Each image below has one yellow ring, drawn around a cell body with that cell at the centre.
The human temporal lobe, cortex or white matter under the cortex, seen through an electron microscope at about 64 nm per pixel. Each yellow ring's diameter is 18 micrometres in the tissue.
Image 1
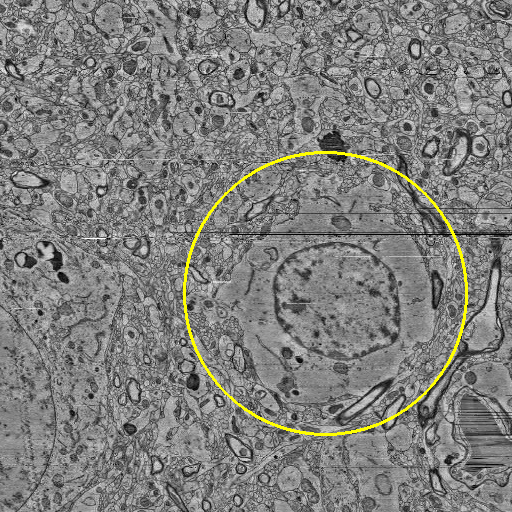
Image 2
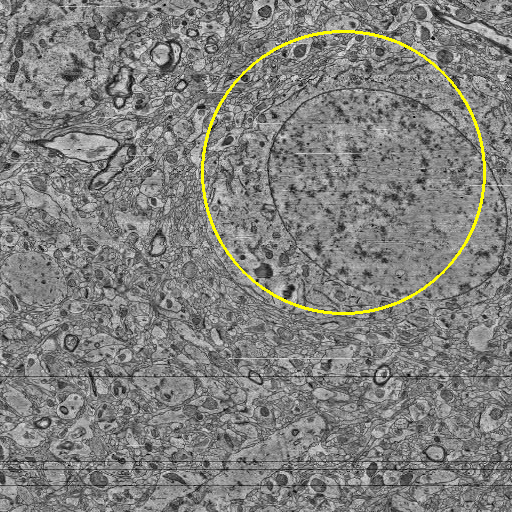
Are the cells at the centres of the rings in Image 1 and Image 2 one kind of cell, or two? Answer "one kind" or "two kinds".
two kinds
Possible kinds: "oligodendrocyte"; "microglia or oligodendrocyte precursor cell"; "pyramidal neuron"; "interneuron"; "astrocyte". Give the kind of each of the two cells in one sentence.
The cell in the second picture is a pyramidal neuron, and that in the first is an astrocyte.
